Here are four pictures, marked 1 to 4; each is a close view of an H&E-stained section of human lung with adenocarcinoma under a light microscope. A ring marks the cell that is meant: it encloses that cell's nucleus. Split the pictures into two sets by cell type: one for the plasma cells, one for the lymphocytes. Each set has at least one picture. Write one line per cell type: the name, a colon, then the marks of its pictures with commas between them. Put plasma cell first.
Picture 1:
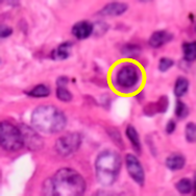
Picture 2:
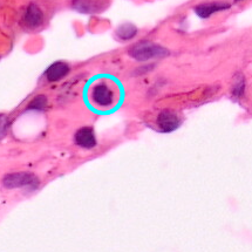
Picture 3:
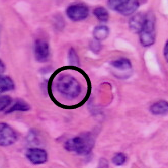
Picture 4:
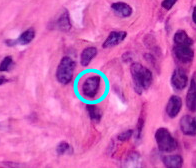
plasma cell: 1, 3, 4
lymphocyte: 2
